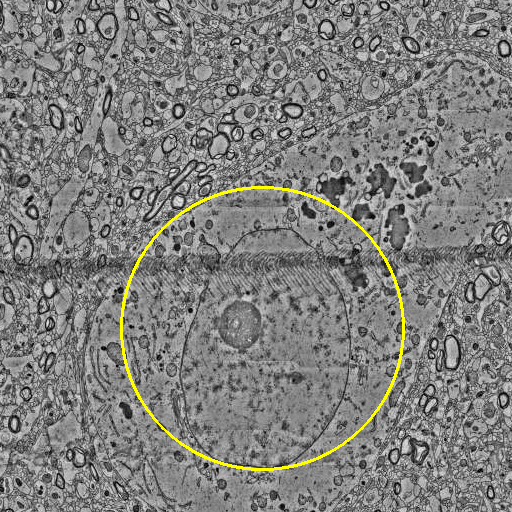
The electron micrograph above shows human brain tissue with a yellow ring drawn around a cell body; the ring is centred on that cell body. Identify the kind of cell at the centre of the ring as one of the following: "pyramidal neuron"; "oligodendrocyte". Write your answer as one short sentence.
The cell at the centre of the ring is a pyramidal neuron.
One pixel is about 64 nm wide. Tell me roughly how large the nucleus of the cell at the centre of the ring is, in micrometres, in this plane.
In this plane, roughly 16 by 11 micrometres.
